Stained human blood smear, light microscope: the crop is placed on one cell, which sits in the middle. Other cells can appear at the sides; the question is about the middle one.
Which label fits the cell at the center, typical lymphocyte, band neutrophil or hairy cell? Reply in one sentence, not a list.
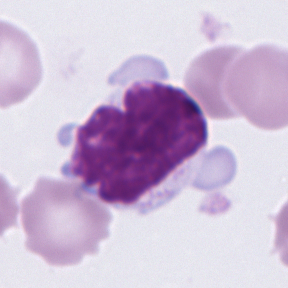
This crop has a typical lymphocyte at its centre.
